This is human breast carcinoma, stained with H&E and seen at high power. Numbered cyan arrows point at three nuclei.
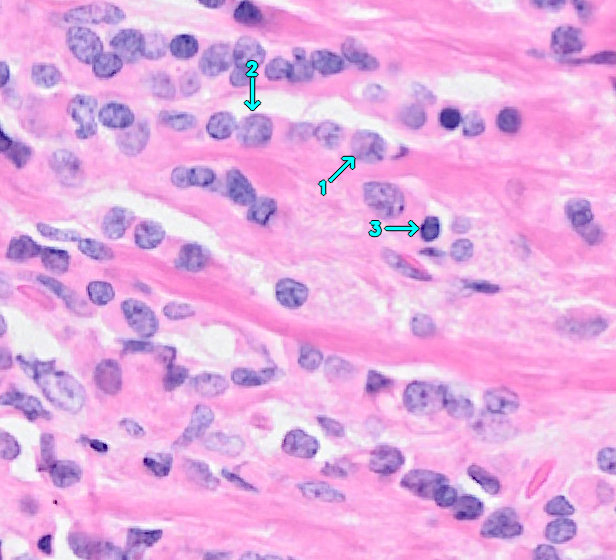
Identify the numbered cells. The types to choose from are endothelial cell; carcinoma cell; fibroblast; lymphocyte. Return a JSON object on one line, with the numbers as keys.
{"1": "carcinoma cell", "2": "carcinoma cell", "3": "lymphocyte"}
